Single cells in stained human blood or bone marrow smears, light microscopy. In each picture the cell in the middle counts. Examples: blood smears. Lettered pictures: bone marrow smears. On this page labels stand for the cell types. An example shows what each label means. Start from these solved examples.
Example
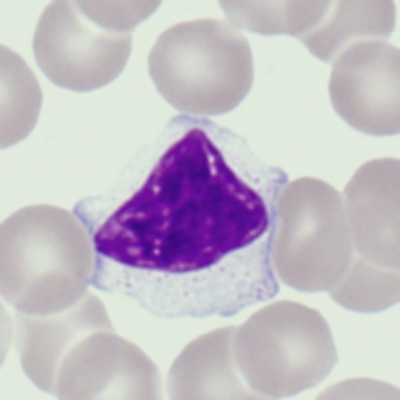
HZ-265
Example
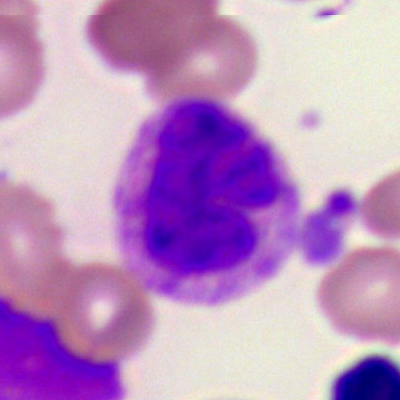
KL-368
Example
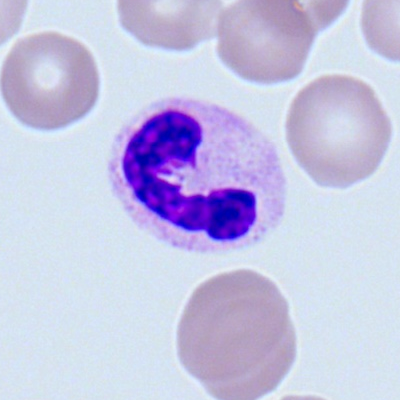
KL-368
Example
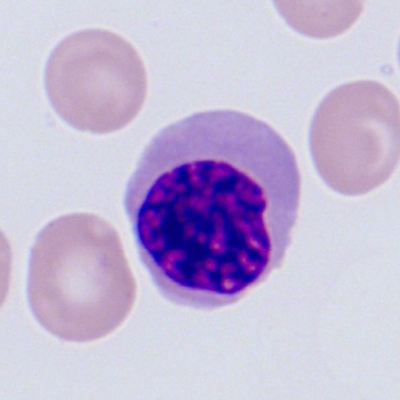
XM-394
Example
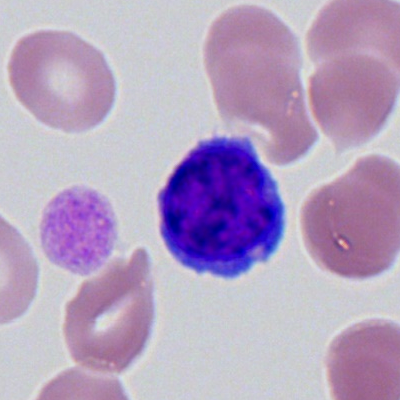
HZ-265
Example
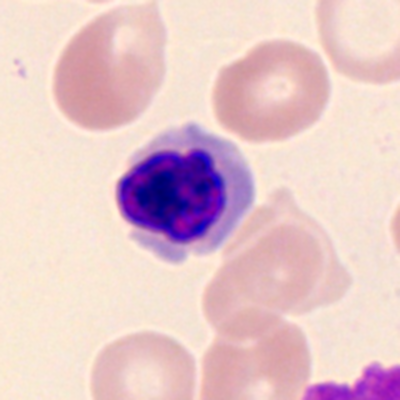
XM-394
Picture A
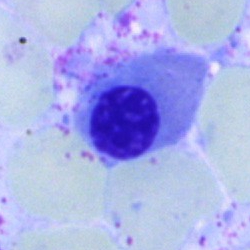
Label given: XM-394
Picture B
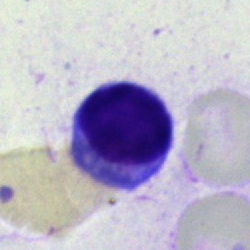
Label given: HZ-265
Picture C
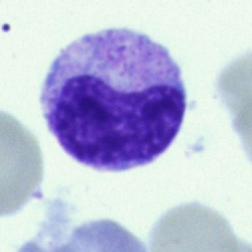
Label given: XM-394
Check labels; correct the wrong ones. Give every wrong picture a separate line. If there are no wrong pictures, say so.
C: KL-368, not XM-394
